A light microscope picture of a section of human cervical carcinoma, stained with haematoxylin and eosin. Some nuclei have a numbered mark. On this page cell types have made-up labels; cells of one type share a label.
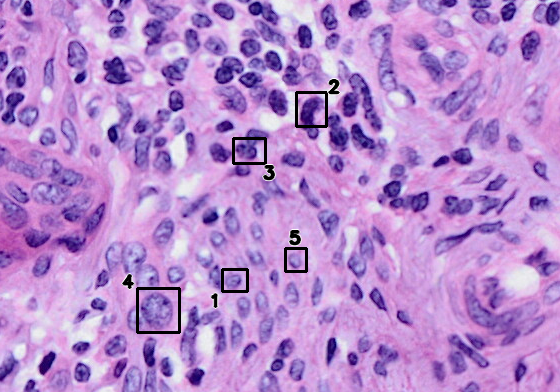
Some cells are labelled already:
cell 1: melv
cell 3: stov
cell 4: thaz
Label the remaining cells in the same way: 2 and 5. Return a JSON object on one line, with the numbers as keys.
{"2": "stov", "5": "melv"}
